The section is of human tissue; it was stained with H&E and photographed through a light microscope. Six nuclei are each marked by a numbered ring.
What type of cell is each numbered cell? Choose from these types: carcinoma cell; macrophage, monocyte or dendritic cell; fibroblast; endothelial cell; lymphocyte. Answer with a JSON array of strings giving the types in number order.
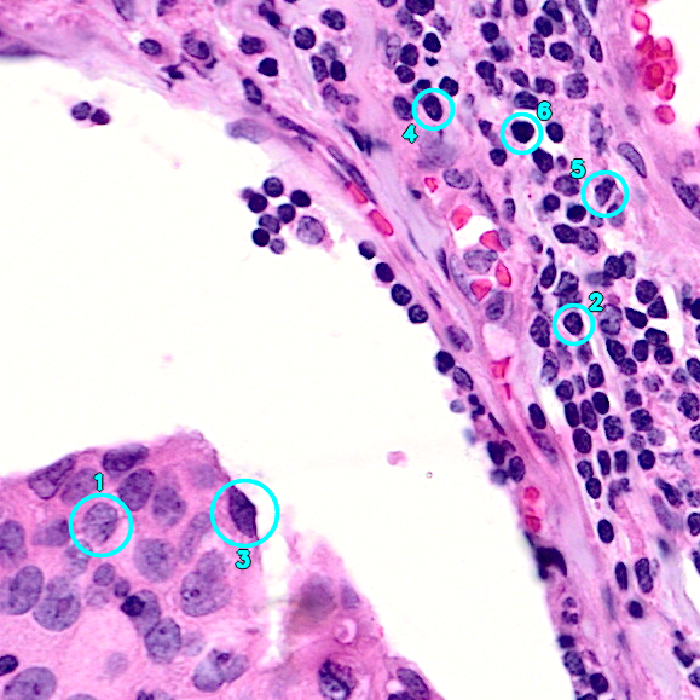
["carcinoma cell", "lymphocyte", "carcinoma cell", "lymphocyte", "lymphocyte", "lymphocyte"]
